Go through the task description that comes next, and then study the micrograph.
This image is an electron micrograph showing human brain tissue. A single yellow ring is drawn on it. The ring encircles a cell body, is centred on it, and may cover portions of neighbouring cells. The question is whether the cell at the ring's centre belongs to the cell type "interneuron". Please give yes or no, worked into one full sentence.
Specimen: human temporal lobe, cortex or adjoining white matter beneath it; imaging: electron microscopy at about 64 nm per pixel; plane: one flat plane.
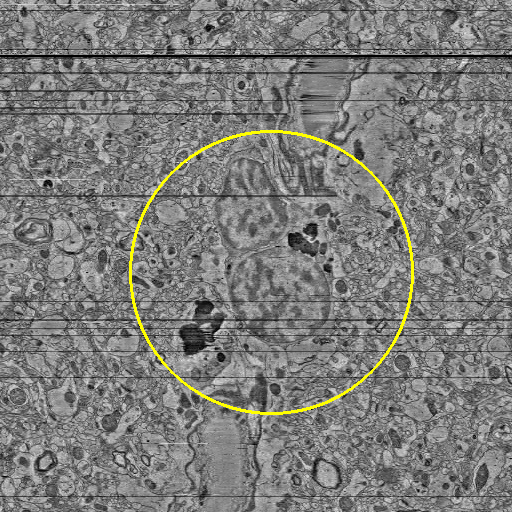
No, the cell that the ring is centred on in the micrograph is of another kind.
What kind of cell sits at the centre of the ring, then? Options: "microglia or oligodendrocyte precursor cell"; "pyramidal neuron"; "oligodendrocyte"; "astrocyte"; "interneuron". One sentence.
Instead, what sits at the centre of the ring is an oligodendrocyte.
